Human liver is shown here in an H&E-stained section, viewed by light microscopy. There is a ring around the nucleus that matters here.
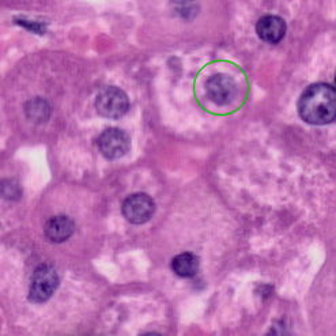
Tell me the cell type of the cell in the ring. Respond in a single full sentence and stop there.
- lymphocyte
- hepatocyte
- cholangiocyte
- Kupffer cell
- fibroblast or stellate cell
Labelled by cell type, the cell in the ring is a hepatocyte.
